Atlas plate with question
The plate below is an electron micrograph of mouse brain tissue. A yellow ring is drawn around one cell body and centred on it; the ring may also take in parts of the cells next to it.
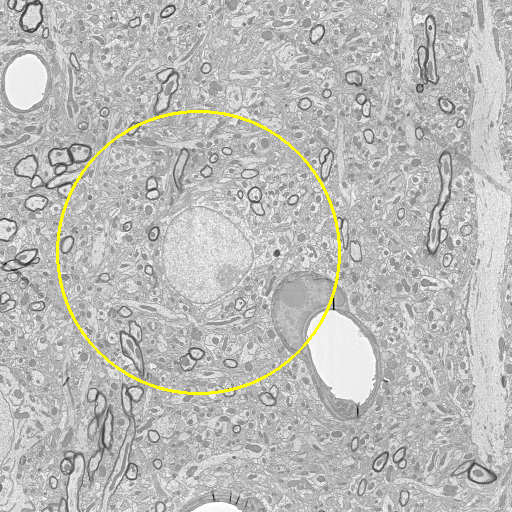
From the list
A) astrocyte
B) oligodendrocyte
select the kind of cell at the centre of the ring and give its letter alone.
A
